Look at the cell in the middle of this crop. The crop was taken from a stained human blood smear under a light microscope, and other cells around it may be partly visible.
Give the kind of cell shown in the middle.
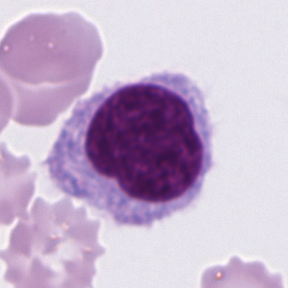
hairy cell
